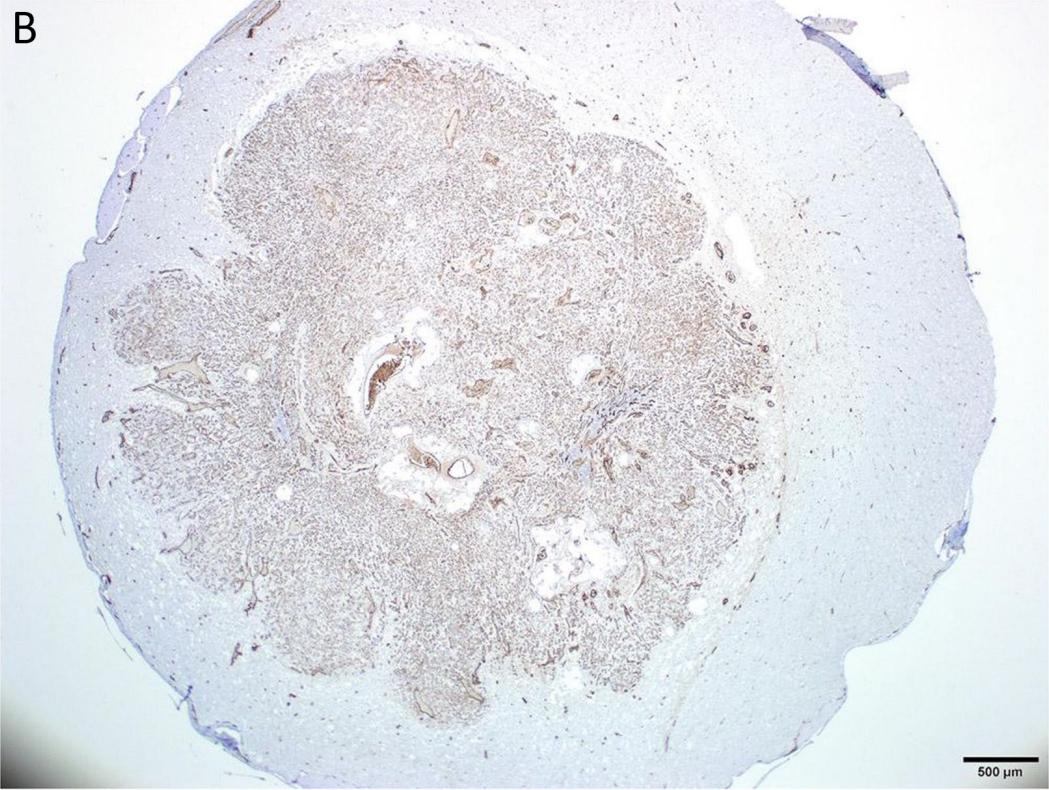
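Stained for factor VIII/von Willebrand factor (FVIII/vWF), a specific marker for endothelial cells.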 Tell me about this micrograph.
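This is a cross-section of the spinal cord, and most of its centre is taken up by a large, lobulated mass lying within the cord itself. The mass stains brown throughout and is packed with small vascular channels, with scattered larger vessels and a few open, clear spaces near its middle. Around it, the remaining cord tissue forms a pale, almost unstained rim, in which only thin brown vessels are seen running through. At the edge, a thin membrane lines the outer surface of the cord.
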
